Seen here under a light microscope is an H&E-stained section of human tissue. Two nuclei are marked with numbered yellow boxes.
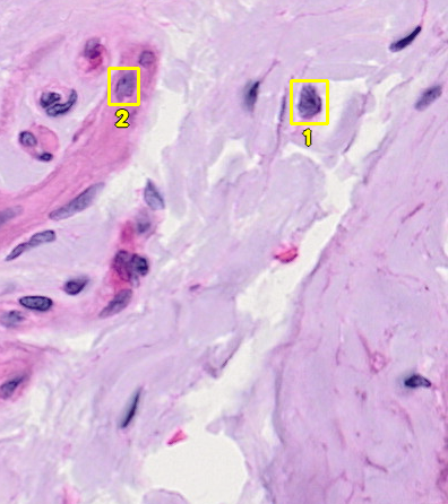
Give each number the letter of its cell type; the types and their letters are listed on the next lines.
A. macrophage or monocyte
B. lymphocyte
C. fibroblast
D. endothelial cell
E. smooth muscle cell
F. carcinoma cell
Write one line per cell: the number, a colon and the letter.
1: C
2: E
